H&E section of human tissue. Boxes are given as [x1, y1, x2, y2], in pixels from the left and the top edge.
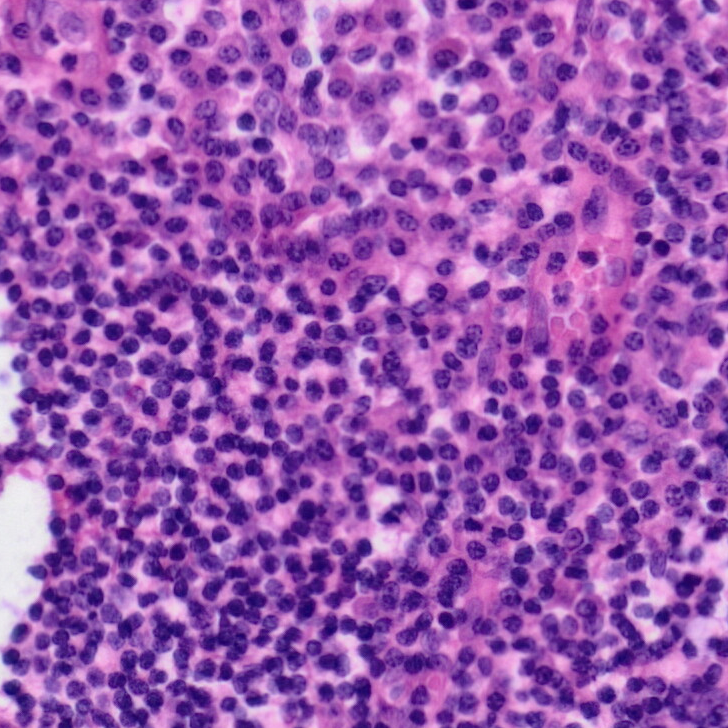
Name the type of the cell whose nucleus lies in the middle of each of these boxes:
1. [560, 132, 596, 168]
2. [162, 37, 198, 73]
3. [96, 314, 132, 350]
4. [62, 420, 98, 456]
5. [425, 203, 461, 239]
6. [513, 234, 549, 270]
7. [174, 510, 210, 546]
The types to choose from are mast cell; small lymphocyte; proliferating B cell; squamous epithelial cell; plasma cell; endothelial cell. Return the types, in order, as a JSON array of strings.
["plasma cell", "plasma cell", "small lymphocyte", "small lymphocyte", "plasma cell", "plasma cell", "small lymphocyte"]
